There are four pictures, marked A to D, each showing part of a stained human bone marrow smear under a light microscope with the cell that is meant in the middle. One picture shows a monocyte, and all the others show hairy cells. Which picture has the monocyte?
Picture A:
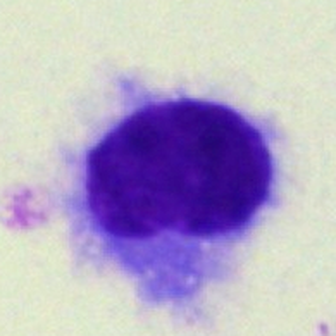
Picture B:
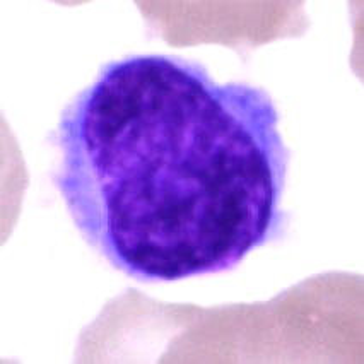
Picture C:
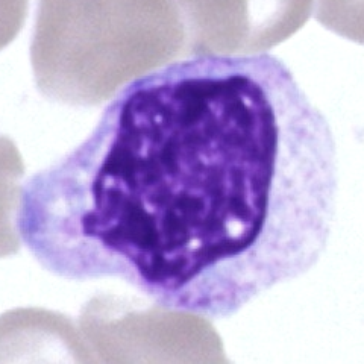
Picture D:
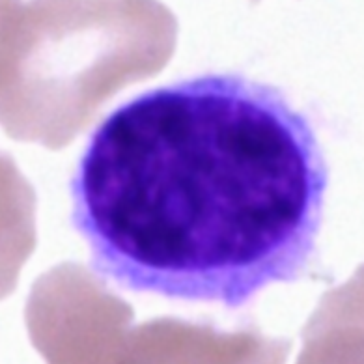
C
